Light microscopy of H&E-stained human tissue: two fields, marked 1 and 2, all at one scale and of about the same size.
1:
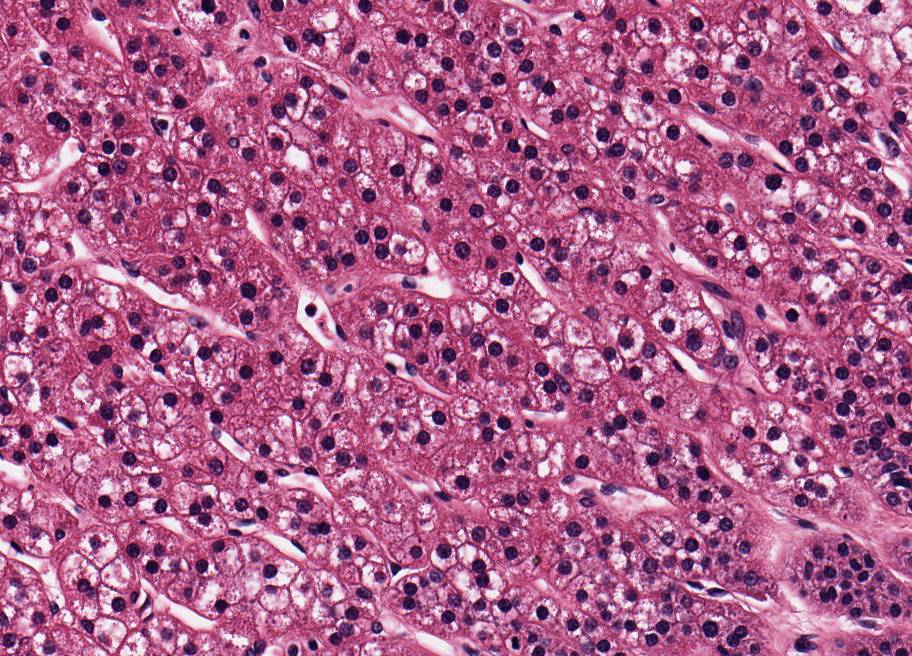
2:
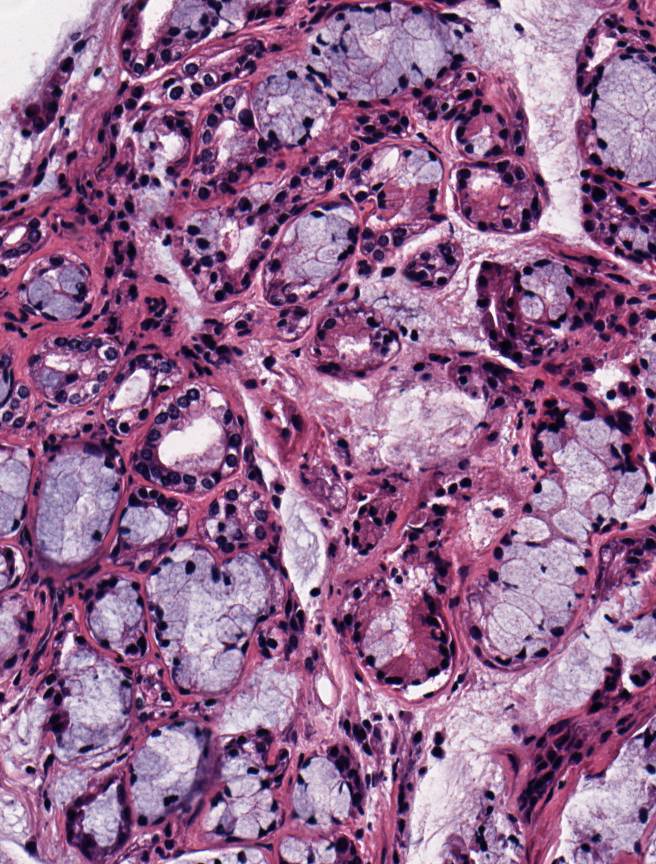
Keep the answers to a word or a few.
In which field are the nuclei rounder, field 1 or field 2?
1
